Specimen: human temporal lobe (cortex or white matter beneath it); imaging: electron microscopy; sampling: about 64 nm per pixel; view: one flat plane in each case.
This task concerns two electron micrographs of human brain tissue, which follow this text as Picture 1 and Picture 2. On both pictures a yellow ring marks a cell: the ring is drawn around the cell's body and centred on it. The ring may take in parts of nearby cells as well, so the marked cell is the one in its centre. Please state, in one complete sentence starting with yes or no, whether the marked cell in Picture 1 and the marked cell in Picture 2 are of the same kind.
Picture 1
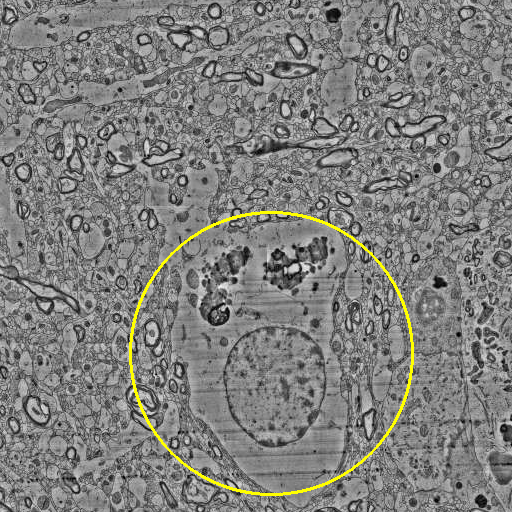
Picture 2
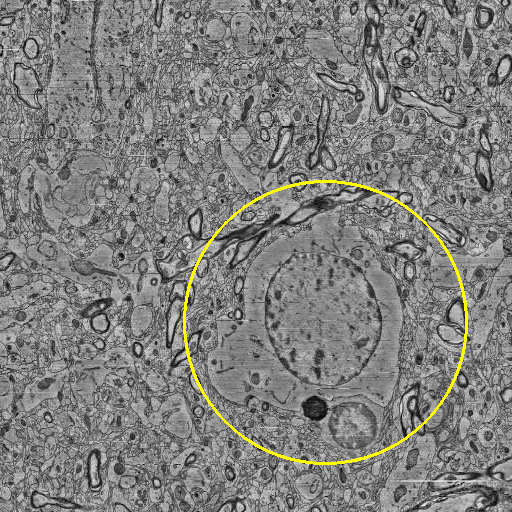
Yes, the marked cells in both pictures are of the same kind.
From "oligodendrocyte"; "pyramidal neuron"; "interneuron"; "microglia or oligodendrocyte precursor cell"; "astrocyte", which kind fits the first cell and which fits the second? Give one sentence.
The cell at the ring centre is an astrocyte in both pictures.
